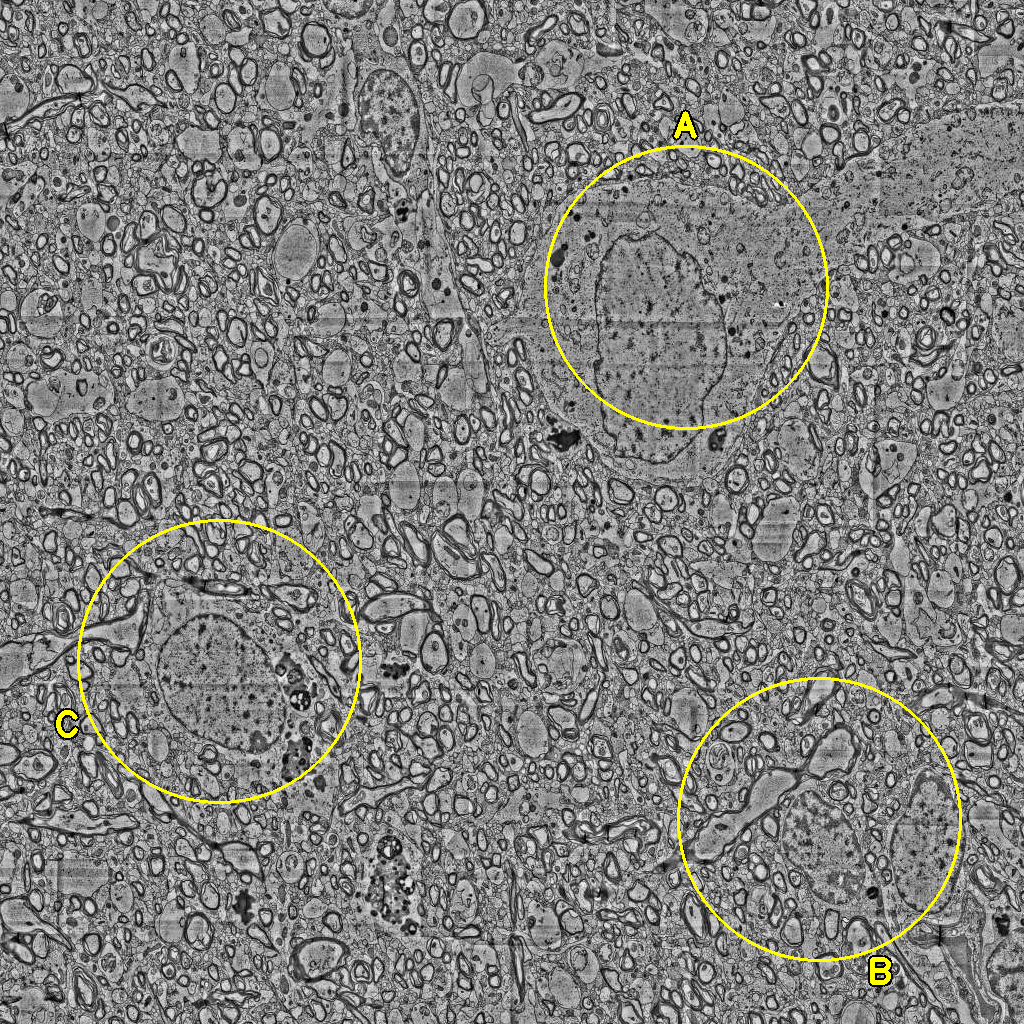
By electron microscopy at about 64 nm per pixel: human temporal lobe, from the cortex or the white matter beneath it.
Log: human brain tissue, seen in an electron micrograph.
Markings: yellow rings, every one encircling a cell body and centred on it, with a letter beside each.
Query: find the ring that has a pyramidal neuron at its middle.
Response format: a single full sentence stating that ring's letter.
The letter A marks the ring centred on the cell asked for in the image.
